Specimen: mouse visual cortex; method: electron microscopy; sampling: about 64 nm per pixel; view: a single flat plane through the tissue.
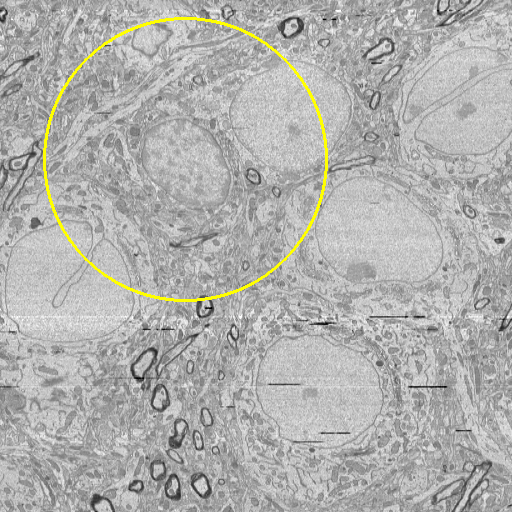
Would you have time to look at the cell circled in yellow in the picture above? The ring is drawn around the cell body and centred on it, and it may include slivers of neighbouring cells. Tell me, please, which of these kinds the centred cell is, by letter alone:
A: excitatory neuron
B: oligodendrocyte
B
